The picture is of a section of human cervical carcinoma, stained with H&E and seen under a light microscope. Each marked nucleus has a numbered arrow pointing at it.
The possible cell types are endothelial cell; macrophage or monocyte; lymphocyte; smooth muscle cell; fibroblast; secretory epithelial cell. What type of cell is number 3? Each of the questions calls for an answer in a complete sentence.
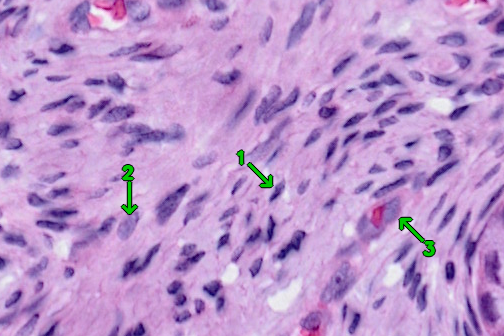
The nucleus with number 3 is that of an endothelial cell.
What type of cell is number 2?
The cell bearing label 2 corresponds to a fibroblast.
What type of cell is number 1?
The cell referenced by the number 1 is a fibroblast in this field.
